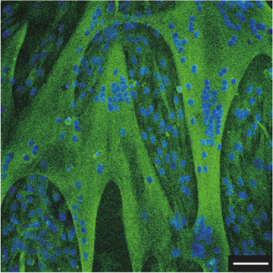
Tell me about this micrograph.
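This field shows myotubes formed in culture, stained bright green, spreading as wide sheets and curving bands. Many oval blue nuclei sit inside the green bands, and in several places they gather into dense clusters. The green is fairly even through the bands, marking the long fused cell bodies. Dark gaps with little green separate some of the bands, giving rounded open spaces between them. Single nuclei also lie in the fainter areas at the edges of the field.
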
